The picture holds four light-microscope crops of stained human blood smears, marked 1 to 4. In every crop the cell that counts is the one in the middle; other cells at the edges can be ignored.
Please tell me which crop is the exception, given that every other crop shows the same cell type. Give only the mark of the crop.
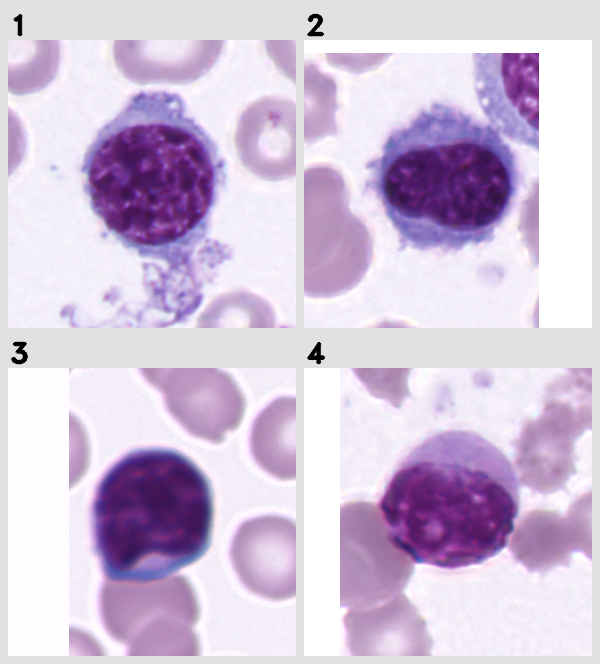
3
